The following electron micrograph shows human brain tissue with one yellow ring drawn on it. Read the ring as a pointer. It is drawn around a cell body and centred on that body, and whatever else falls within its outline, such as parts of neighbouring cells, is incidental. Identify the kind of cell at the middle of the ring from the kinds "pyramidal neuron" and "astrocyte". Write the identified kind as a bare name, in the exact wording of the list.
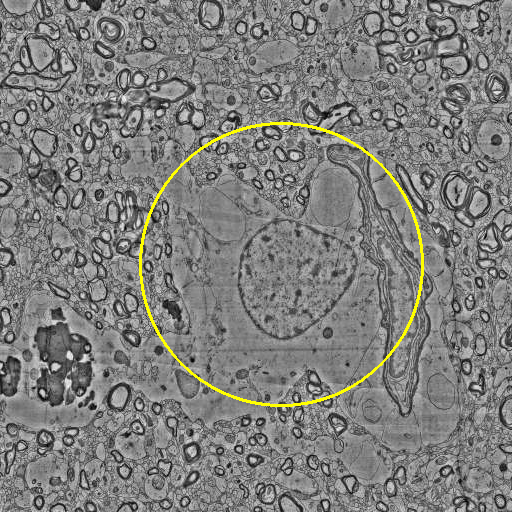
astrocyte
